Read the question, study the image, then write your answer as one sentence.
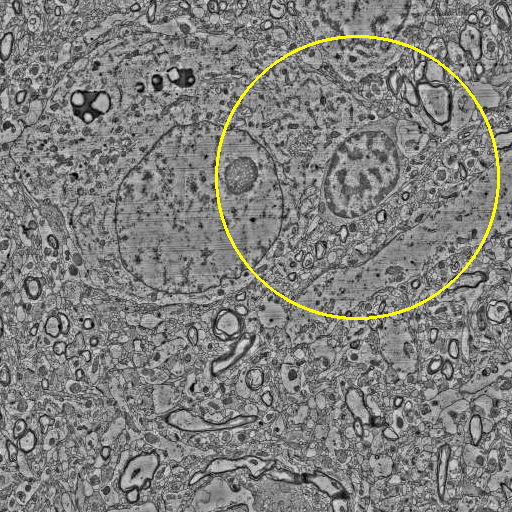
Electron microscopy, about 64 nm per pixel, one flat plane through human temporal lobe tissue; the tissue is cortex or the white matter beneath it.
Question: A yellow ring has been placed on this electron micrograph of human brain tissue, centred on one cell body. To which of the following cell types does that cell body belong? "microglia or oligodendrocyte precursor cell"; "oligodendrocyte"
That cell body belongs to an oligodendrocyte.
